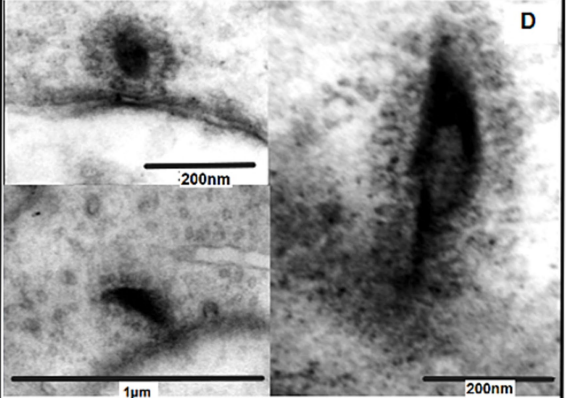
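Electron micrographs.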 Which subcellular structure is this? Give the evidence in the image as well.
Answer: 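Ribbon synapses. Elongated electron-dense bodies sit at the cell membrane. A haze of small vesicles surrounds the dense bodies.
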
